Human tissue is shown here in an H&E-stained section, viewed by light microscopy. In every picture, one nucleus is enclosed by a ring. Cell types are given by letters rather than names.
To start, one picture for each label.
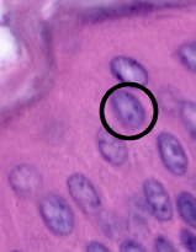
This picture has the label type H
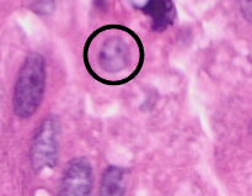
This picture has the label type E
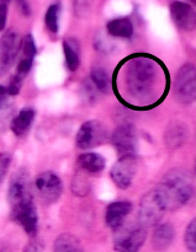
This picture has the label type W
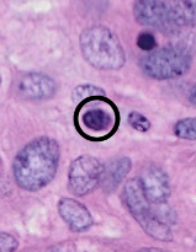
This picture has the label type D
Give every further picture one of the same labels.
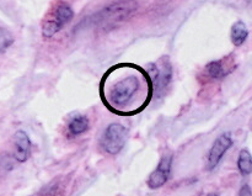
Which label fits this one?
type E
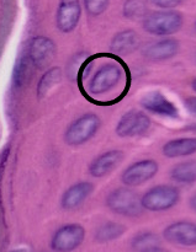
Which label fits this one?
type H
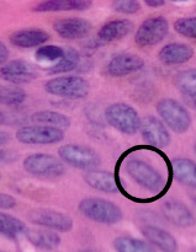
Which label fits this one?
type H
